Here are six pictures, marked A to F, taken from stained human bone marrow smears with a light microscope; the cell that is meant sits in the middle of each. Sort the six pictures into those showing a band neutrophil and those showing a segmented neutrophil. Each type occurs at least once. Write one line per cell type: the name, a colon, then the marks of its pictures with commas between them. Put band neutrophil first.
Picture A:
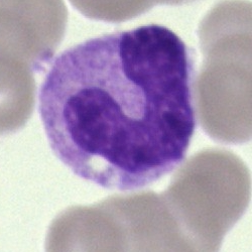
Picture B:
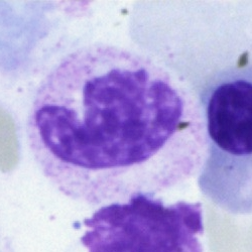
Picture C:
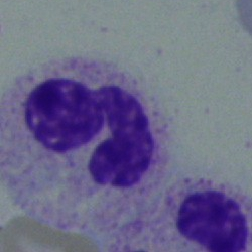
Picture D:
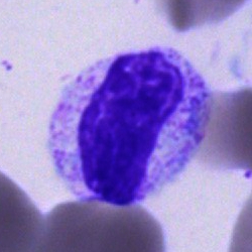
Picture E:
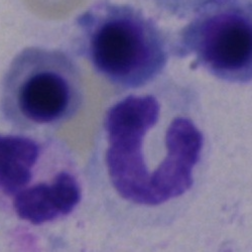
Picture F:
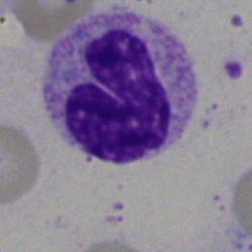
band neutrophil: A, B, D, F
segmented neutrophil: C, E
